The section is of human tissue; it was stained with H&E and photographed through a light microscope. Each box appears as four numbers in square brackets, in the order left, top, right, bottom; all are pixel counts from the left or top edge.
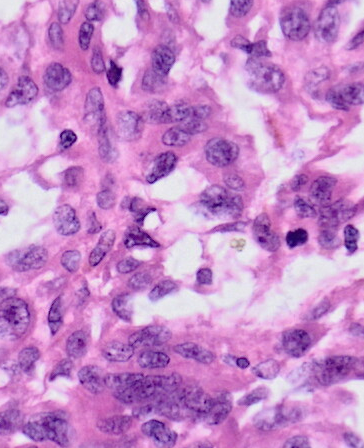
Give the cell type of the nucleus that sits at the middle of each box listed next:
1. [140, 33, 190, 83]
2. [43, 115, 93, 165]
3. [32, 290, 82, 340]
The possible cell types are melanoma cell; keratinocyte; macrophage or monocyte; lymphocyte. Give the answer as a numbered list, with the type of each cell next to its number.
1. melanoma cell
2. lymphocyte
3. macrophage or monocyte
